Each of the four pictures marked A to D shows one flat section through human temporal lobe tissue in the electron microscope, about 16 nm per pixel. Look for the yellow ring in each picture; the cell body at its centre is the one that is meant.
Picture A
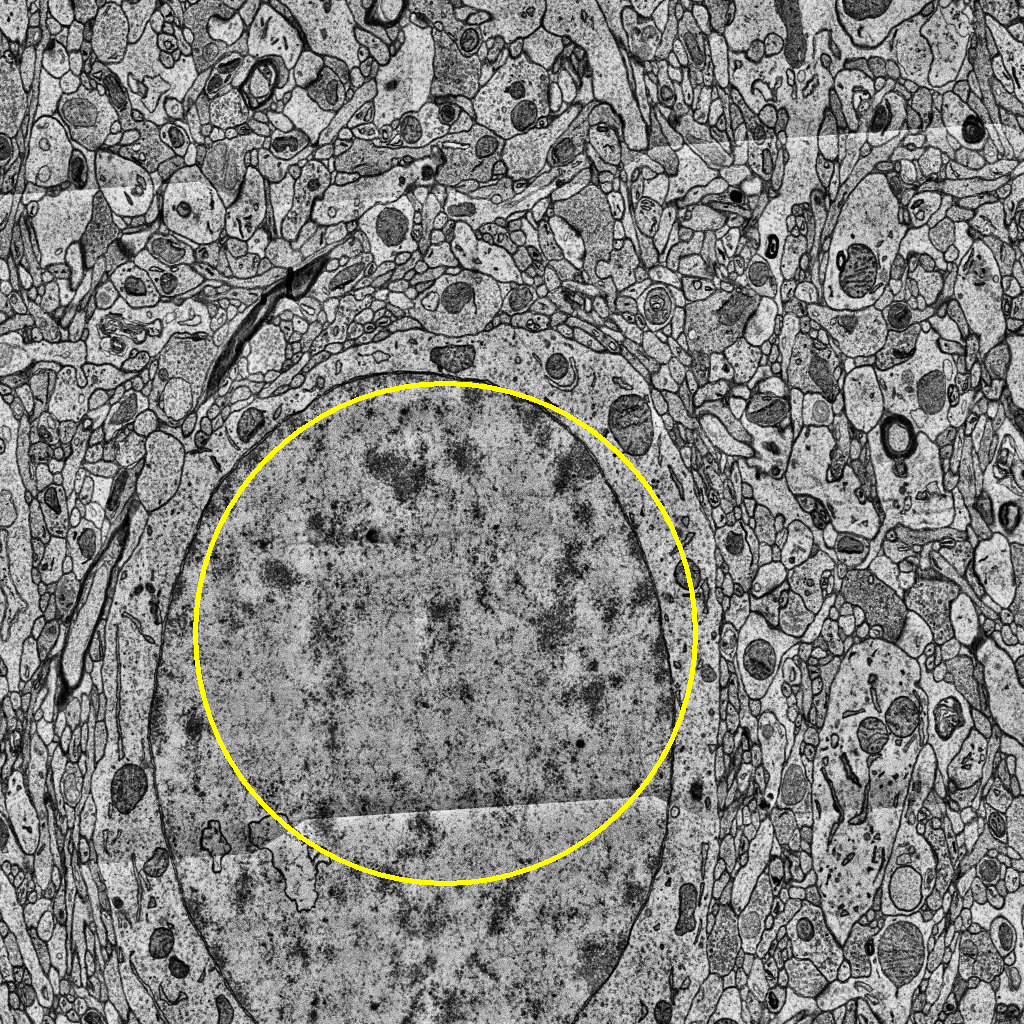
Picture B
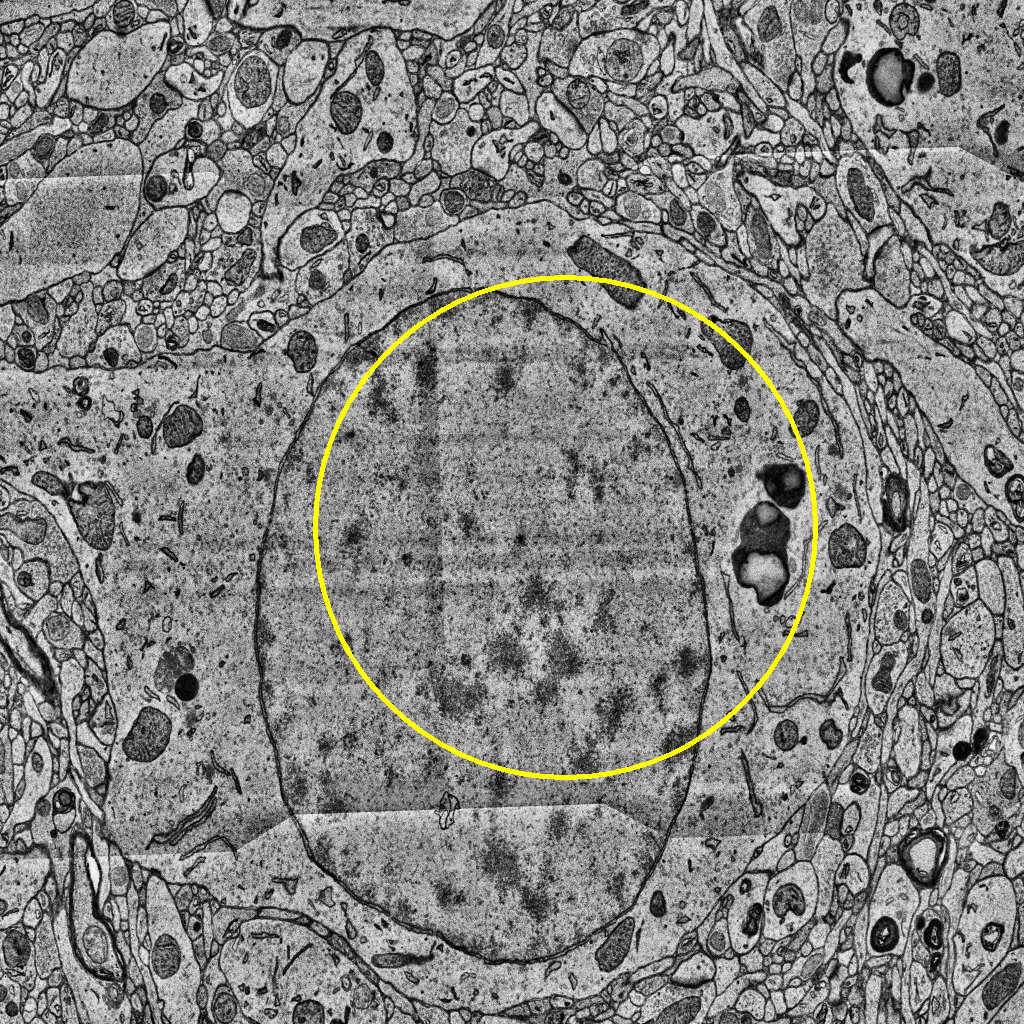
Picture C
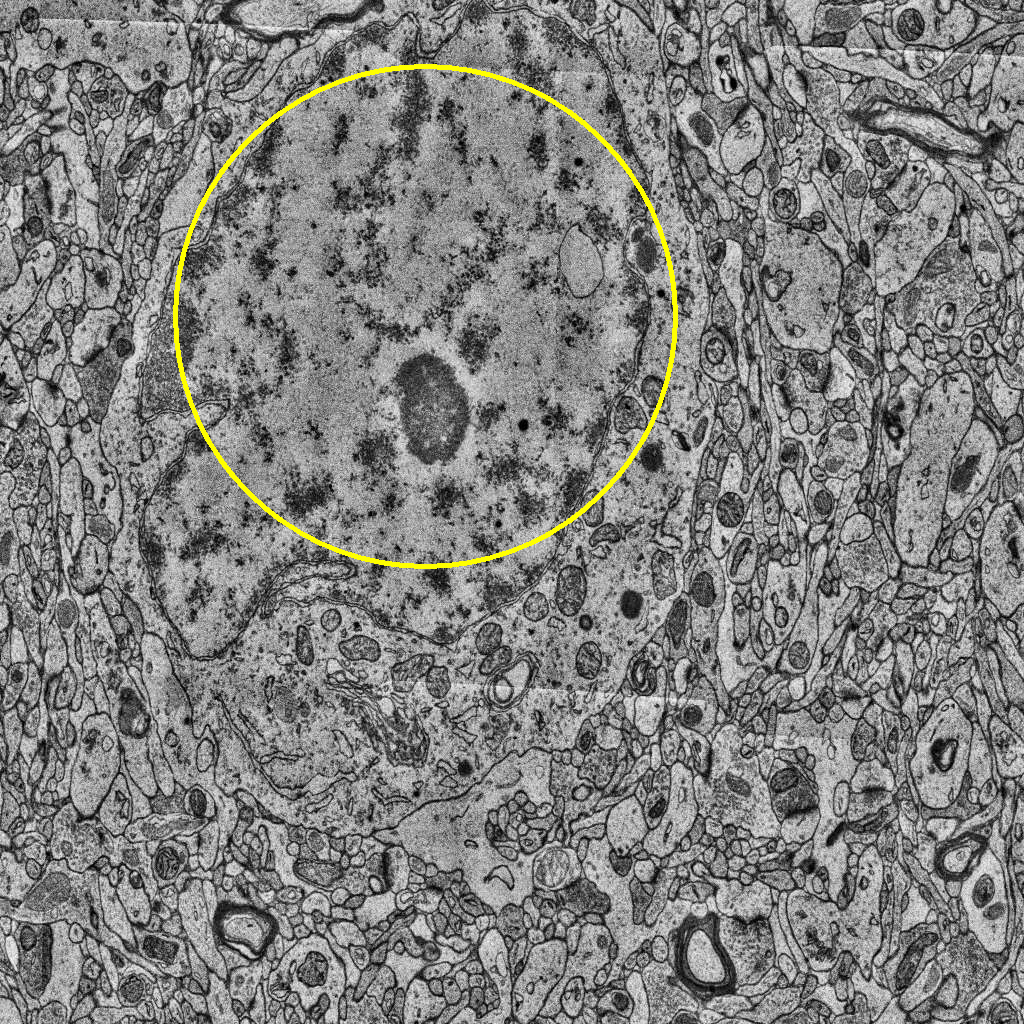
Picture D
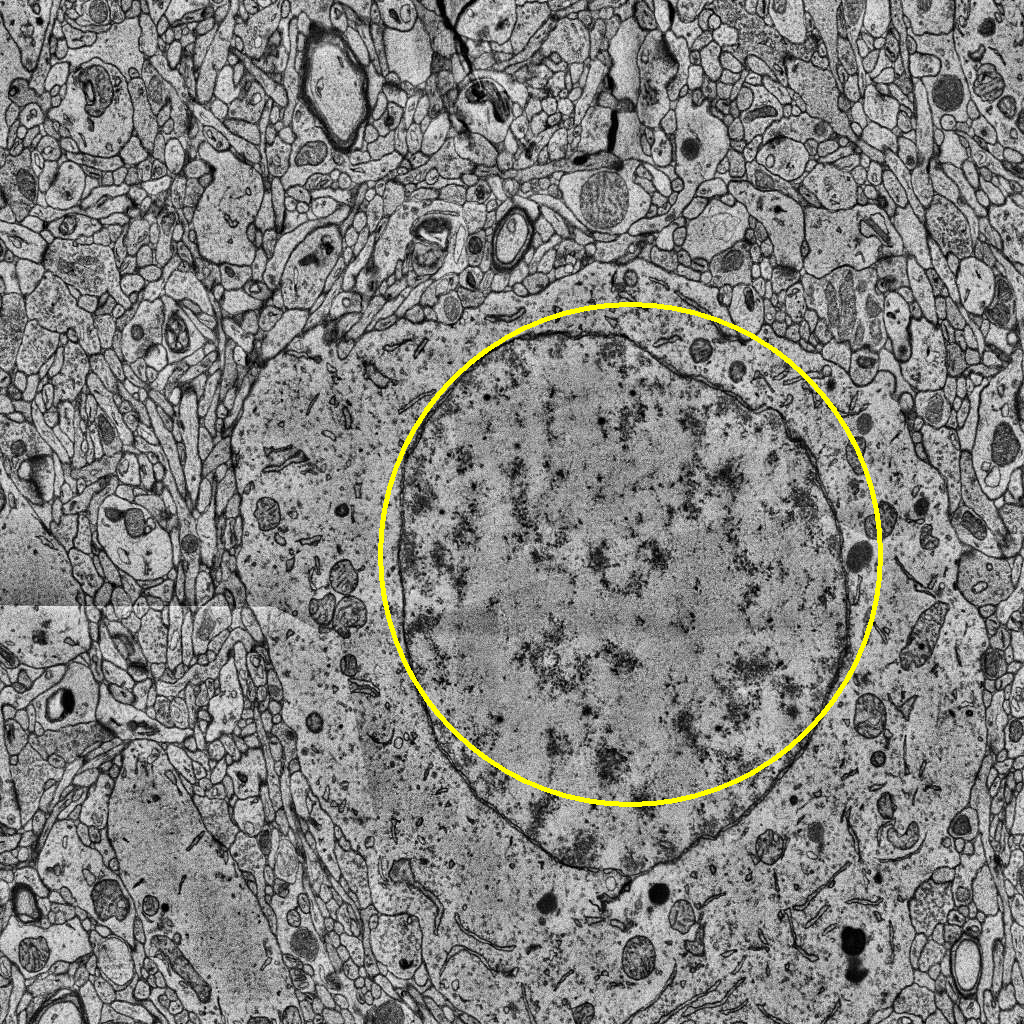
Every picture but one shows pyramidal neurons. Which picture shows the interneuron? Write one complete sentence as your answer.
The cell in picture C is the interneuron.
